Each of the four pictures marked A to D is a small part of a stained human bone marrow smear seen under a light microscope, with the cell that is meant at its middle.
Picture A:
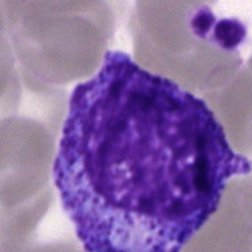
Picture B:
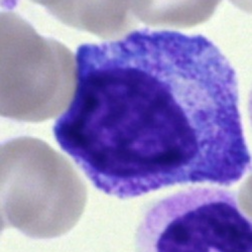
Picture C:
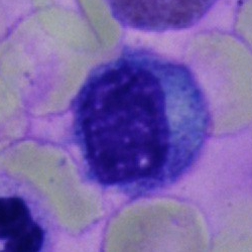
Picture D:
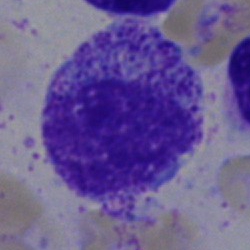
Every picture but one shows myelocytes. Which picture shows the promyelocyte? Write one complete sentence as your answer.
The cell in picture A is the promyelocyte.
